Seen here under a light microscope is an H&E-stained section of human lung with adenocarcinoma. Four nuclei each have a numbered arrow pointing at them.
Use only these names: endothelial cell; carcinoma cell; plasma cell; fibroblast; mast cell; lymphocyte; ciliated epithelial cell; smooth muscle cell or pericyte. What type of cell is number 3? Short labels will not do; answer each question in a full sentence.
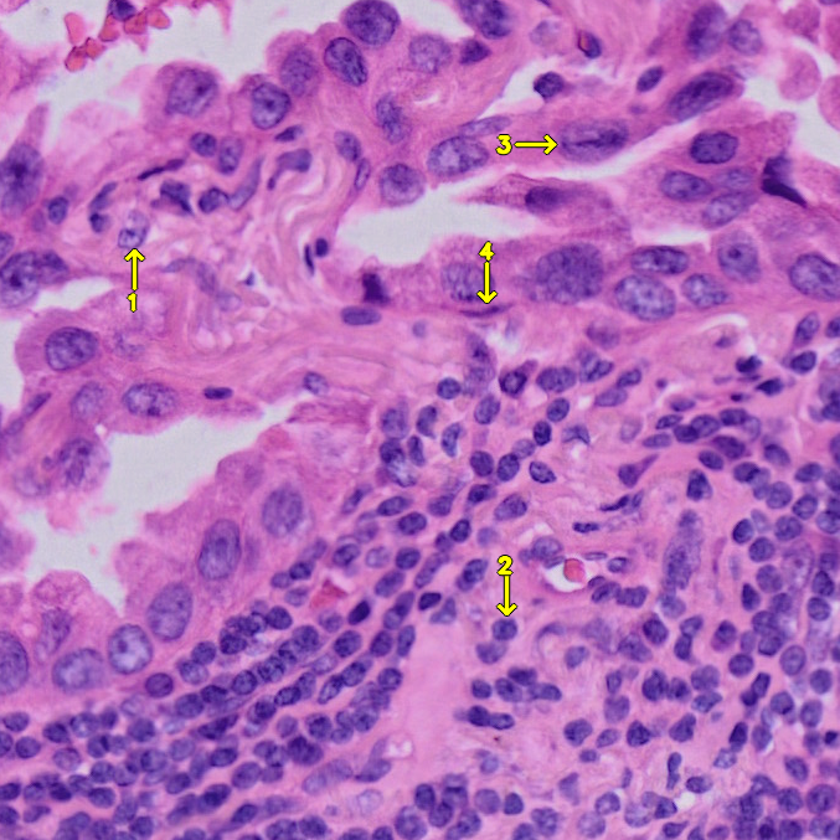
Identified by the number 3, the cell is a carcinoma cell.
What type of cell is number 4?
The cell indicated with the number 4 is classed as a carcinoma cell.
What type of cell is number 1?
Of the numbered cells, the one labelled 1 is a fibroblast.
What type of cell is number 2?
At number 2, the marked cell is a lymphocyte.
